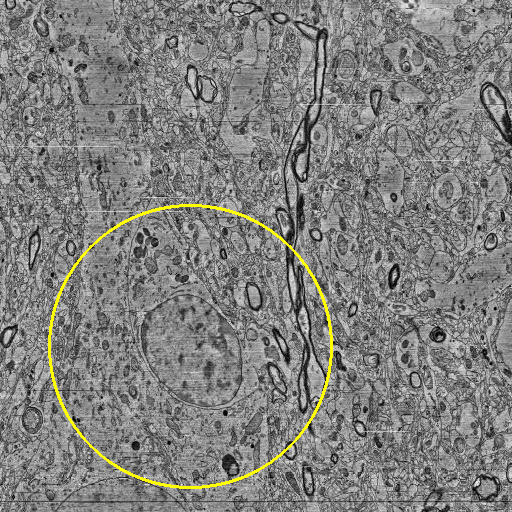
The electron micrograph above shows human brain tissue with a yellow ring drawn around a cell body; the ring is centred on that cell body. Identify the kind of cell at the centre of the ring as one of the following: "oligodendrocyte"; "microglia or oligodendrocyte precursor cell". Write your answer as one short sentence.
The cell at the centre of the ring is a microglial cell or oligodendrocyte precursor cell.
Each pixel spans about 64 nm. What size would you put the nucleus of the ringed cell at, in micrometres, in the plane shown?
In this plane the nucleus measures roughly 8 by 6 micrometers.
